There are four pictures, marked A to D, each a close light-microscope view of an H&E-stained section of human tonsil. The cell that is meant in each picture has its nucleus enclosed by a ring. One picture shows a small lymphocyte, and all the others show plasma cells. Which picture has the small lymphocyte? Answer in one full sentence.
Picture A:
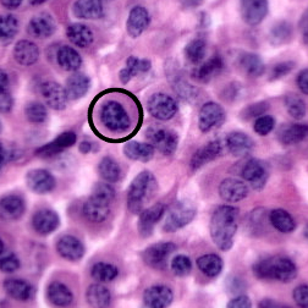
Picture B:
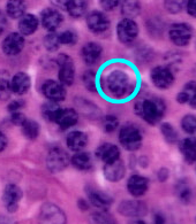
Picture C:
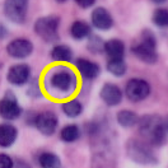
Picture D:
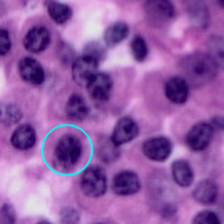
The picture with the small lymphocyte is C.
